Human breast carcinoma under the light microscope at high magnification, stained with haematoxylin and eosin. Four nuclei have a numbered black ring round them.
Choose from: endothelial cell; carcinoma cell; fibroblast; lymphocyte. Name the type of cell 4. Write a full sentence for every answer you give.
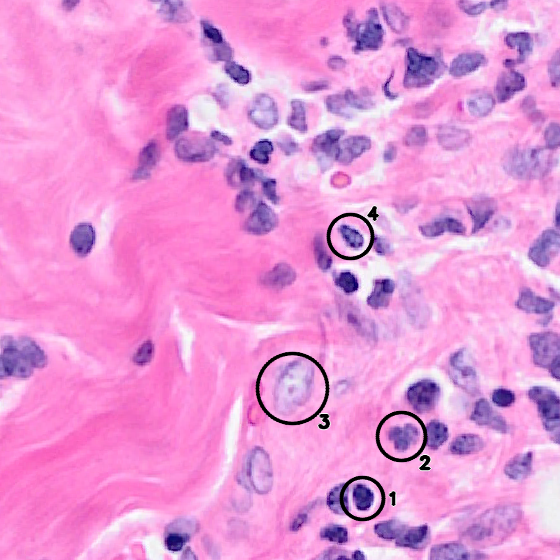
Cell 4 in the field is a lymphocyte.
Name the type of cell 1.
Cell 1 is classified as a lymphocyte.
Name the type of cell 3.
The nucleus labelled 3 belongs to an endothelial cell.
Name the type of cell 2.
In the marked set, the cell given number 2 is a lymphocyte.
